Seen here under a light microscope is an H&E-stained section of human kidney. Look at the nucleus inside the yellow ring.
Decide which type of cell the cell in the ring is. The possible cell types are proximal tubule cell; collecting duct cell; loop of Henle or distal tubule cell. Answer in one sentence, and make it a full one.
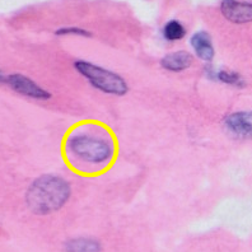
In this section of tissue, the cell in the ring is a proximal tubule cell.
